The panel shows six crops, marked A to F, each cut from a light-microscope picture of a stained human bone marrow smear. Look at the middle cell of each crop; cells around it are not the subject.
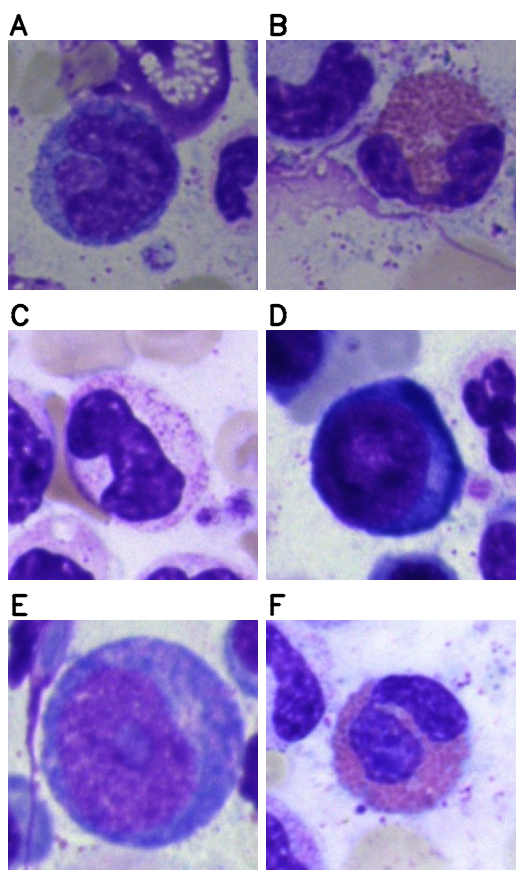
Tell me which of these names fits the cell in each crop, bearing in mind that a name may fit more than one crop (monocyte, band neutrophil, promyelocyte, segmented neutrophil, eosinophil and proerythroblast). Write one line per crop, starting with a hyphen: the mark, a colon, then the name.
- A: monocyte
- B: eosinophil
- C: band neutrophil
- D: proerythroblast
- E: promyelocyte
- F: eosinophil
